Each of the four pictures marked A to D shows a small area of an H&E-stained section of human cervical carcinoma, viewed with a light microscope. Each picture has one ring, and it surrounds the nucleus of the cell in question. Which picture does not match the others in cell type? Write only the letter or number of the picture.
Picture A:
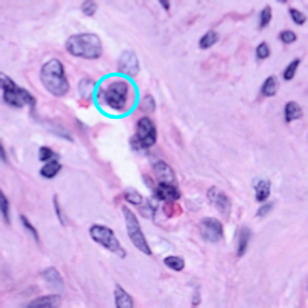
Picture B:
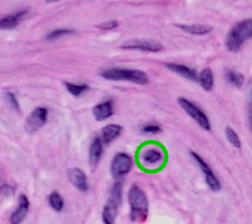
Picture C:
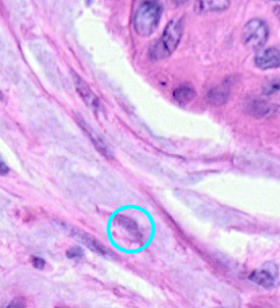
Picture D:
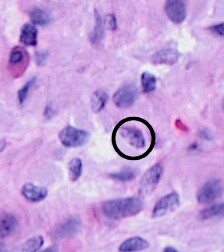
A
